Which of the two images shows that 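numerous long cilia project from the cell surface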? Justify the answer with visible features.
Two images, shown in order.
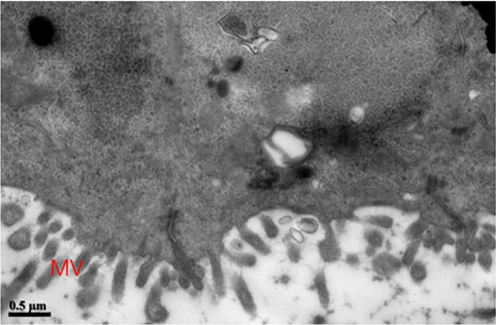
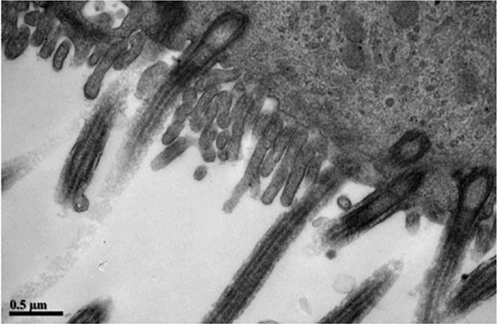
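First image: the apical surface bears only short, stubby finger-like projections without long filament-filled shafts. Second image: many long projections with dense internal filament bundles extend into the lumen. The answer: the second image.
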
